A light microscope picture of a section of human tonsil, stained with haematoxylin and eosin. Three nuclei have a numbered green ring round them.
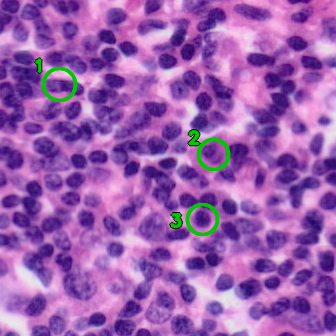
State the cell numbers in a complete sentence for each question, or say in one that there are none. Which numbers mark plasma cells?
Among the numbered cells, the one that is a plasma cell is cell 2 alone.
